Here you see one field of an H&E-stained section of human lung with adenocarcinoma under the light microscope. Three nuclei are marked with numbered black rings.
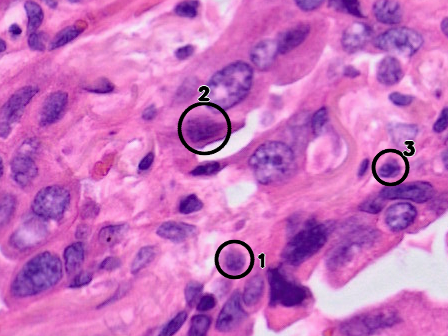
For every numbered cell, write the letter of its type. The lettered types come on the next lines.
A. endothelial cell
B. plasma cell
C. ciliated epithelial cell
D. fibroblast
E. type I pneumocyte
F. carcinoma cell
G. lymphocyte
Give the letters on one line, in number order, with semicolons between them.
B; F; G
